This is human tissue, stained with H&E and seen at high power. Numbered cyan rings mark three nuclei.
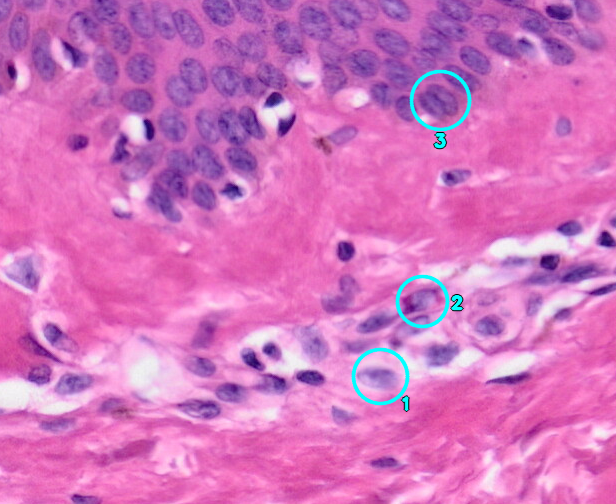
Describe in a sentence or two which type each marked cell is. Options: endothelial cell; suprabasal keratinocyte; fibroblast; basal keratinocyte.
Cell 1 is a fibroblast, cell 2 is an endothelial cell and cell 3 is a basal keratinocyte.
